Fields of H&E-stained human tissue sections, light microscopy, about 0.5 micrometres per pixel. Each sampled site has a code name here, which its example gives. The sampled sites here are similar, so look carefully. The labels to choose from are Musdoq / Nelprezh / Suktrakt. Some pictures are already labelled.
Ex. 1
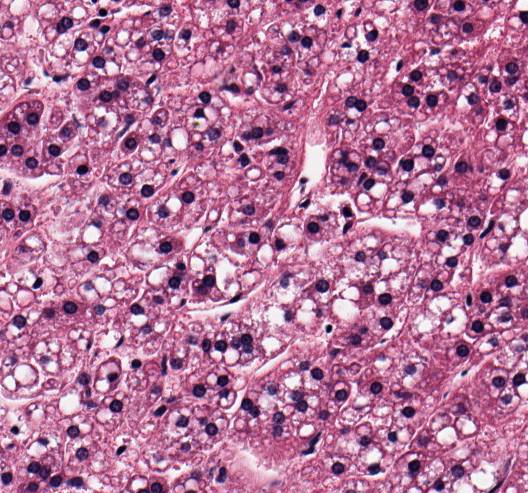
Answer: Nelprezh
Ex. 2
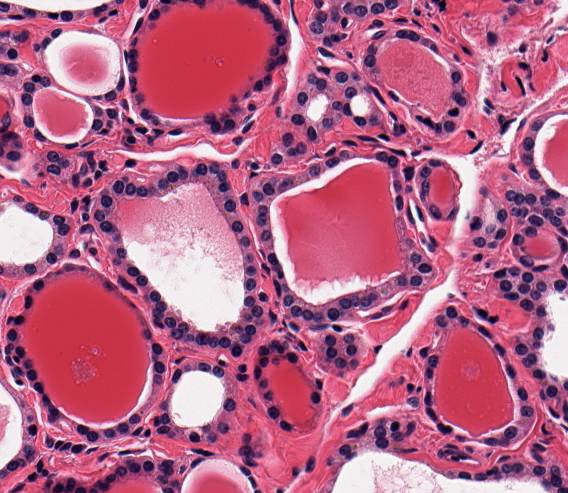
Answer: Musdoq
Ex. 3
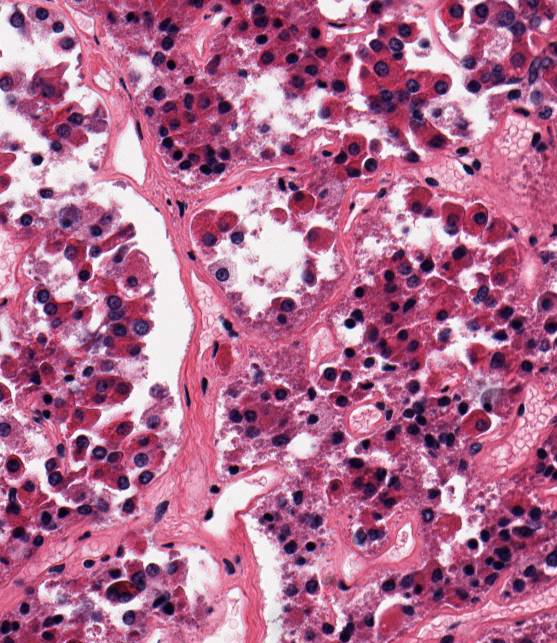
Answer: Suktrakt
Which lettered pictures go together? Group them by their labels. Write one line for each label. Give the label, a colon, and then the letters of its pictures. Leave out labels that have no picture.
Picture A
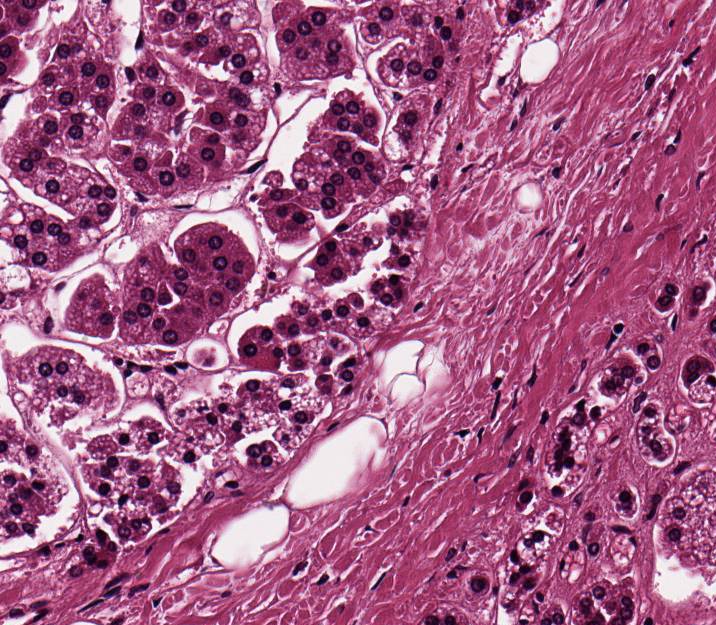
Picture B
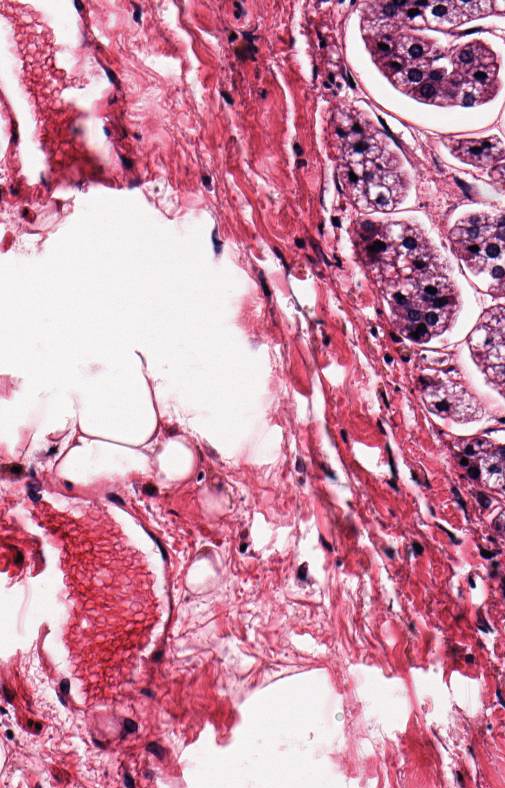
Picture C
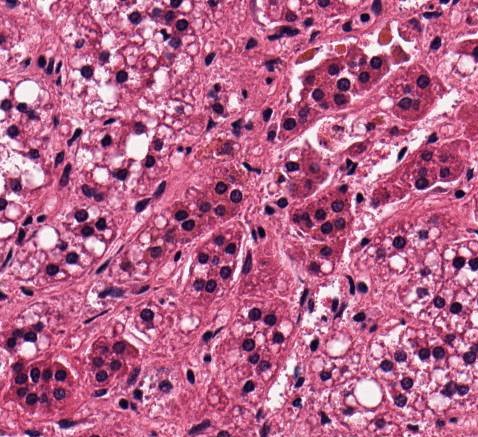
Nelprezh: A, B, C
